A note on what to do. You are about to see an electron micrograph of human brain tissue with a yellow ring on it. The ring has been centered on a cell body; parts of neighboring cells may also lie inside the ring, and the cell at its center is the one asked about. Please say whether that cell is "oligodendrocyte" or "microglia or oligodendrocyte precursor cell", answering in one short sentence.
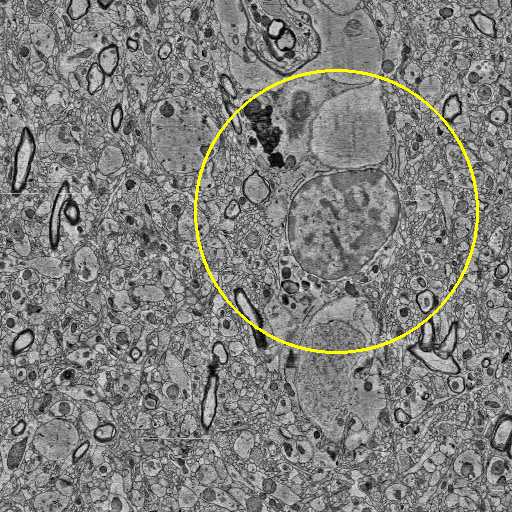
The yellow ring sits on a microglial cell or oligodendrocyte precursor cell.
